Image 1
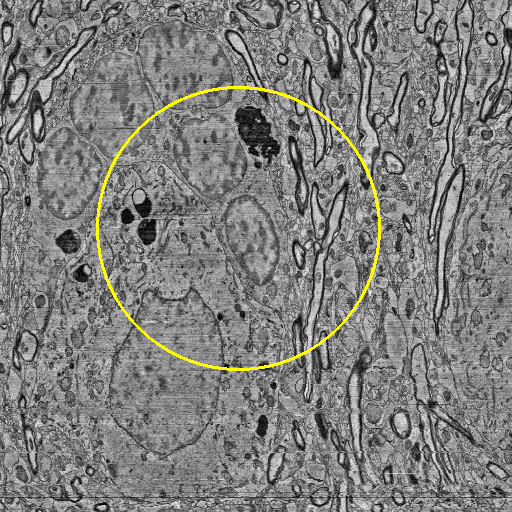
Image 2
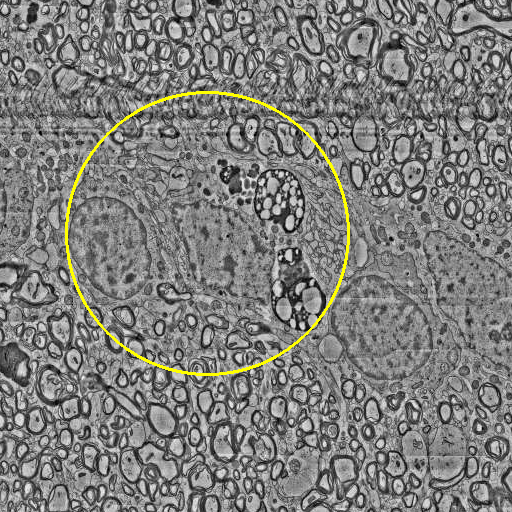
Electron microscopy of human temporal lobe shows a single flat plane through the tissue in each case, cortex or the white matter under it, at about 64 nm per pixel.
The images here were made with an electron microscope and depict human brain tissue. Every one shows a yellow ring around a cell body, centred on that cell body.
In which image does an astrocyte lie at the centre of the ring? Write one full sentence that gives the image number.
My answer is image 2, where the asked-for cell sits at the centre of the ring.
